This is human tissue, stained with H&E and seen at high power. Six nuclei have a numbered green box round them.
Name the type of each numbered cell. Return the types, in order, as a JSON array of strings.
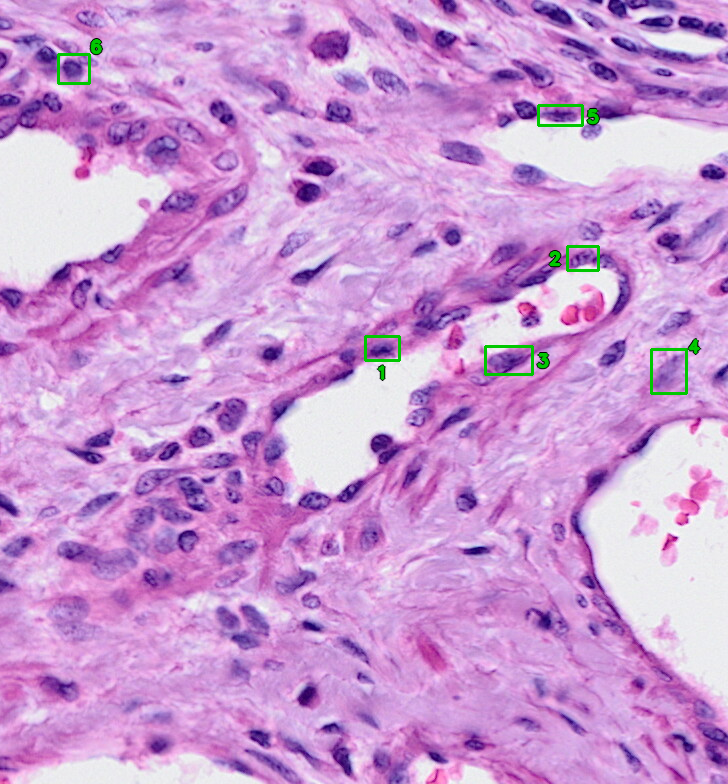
["endothelial cell", "endothelial cell", "endothelial cell", "fibroblast", "endothelial cell", "lymphocyte"]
